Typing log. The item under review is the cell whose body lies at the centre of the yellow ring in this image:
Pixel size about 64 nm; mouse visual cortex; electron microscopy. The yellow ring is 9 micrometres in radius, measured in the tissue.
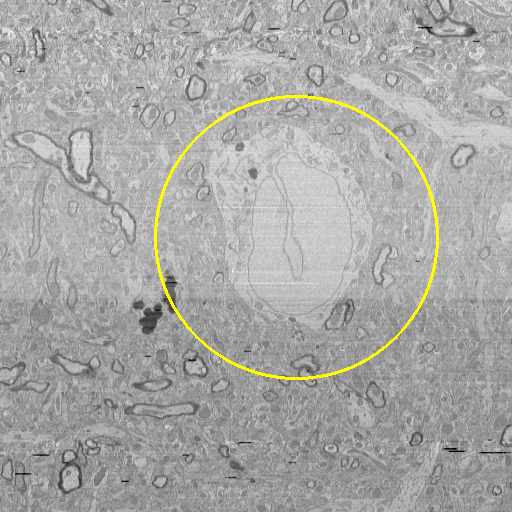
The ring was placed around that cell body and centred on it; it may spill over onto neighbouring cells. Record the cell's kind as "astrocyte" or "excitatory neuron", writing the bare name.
excitatory neuron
